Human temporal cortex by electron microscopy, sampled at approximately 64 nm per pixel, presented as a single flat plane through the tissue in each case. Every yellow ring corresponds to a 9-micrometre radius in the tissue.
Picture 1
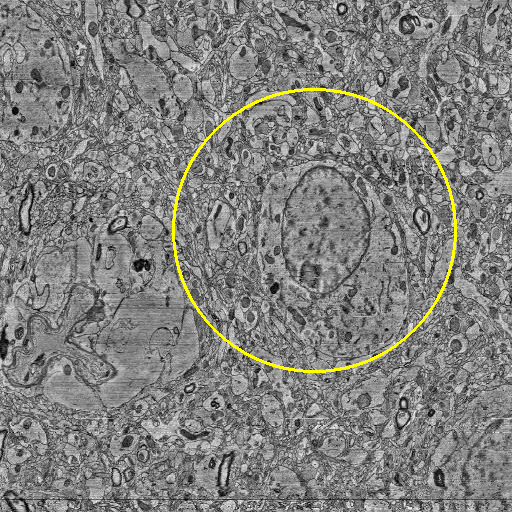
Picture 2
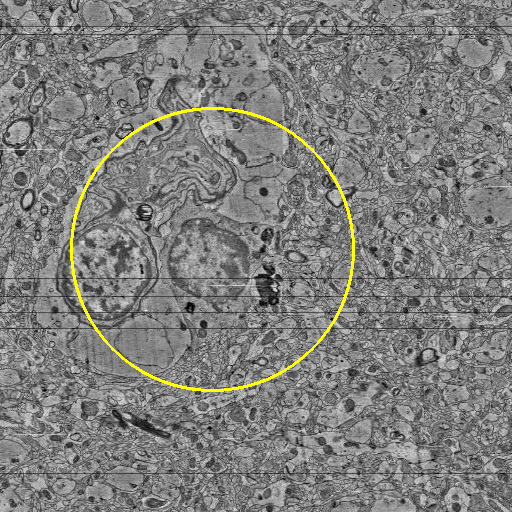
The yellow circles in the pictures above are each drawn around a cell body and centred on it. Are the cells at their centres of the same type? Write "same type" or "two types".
two types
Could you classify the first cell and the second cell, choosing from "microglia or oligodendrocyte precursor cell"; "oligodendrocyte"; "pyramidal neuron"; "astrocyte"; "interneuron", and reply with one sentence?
The second cell is an oligodendrocyte, while the first is a pyramidal neuron.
